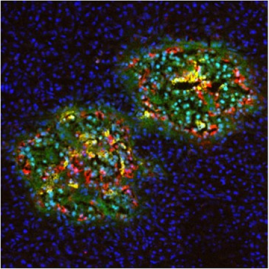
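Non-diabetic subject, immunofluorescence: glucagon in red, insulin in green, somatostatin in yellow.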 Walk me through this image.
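Here you see two pancreatic islets, rounded clusters of endocrine cells set in the exocrine pancreas. Outside the islets the tissue shows only small blue nuclei, evenly spread. Inside each islet the cells are tightly packed, and three colours mingle: many green-stained cells fill much of the islet, red-stained cells are scattered among them and gather especially toward the rims, and yellow cells appear here and there.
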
